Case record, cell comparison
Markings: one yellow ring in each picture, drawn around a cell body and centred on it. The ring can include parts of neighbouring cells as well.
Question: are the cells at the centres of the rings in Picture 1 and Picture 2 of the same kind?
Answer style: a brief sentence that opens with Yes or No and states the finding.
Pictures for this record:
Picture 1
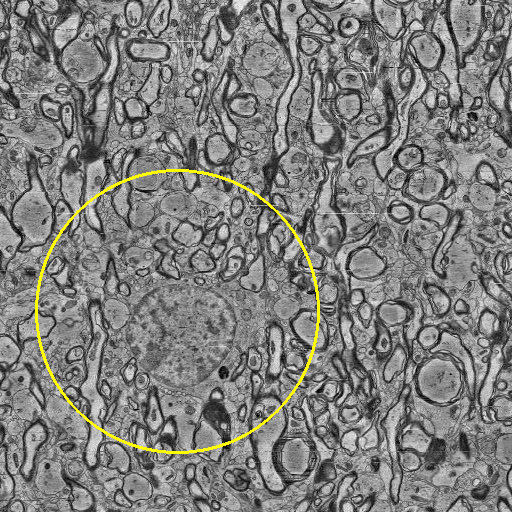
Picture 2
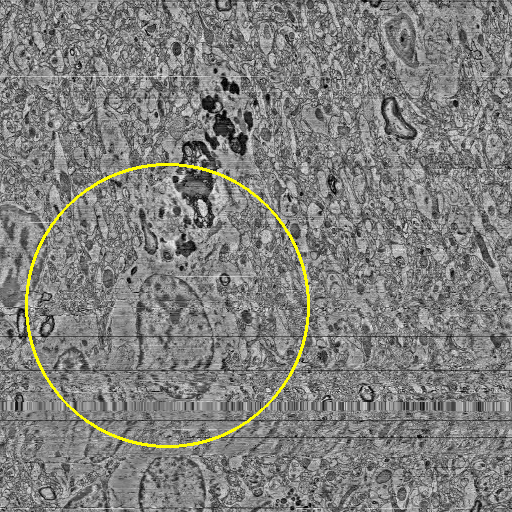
No, the cells in Picture 1 and Picture 2 are of two kinds.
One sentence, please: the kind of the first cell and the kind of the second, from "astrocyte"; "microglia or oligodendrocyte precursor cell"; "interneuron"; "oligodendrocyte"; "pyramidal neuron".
The ring in the first picture surrounds an oligodendrocyte, and the ring in the second surrounds an astrocyte.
